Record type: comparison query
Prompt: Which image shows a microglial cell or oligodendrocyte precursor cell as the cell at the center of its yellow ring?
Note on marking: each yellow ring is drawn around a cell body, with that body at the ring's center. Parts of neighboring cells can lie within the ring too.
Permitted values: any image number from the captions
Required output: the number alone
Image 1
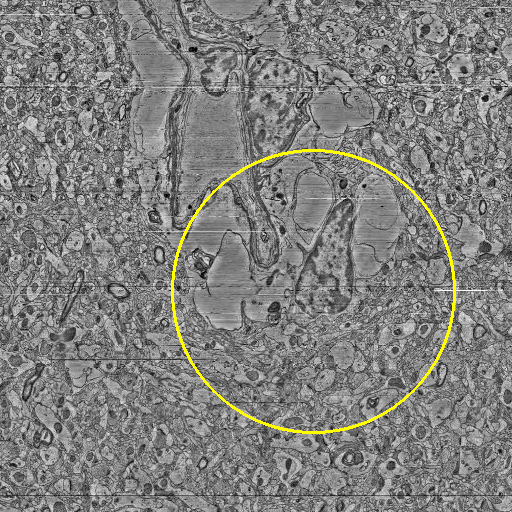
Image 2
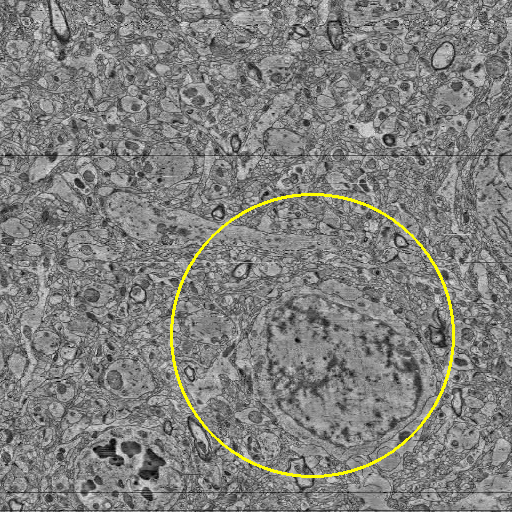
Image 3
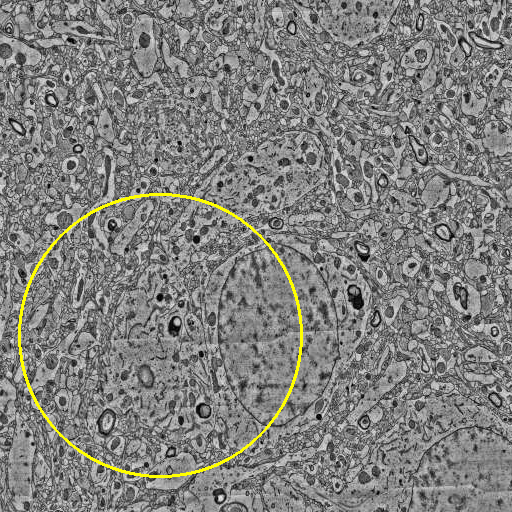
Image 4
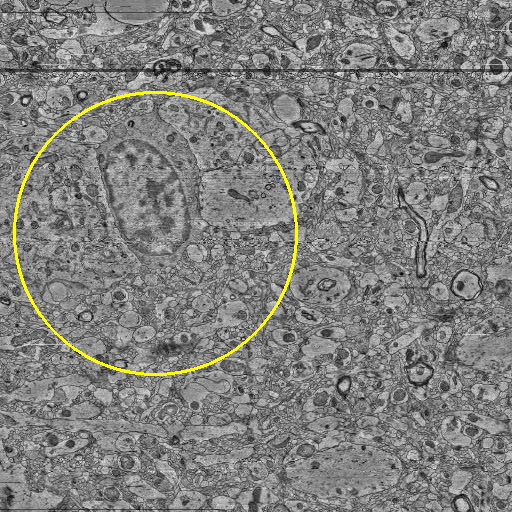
1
